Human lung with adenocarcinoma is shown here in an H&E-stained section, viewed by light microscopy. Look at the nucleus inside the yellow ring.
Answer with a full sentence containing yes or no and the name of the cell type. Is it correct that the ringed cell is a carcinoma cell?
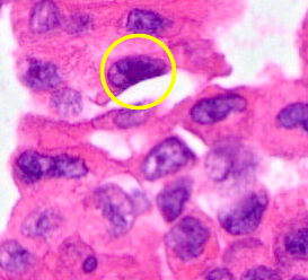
Yes, the ringed cell counts as a carcinoma cell in this tissue.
